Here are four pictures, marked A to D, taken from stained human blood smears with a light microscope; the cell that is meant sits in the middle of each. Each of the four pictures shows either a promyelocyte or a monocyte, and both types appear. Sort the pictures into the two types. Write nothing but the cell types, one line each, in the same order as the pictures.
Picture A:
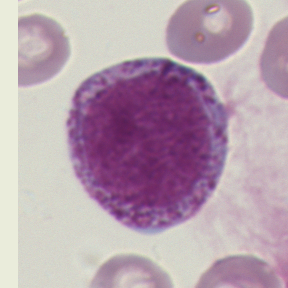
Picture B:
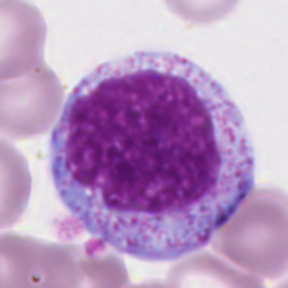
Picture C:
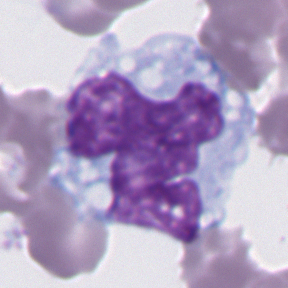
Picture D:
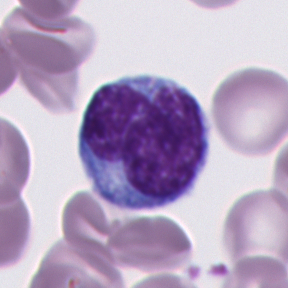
promyelocyte
promyelocyte
monocyte
monocyte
